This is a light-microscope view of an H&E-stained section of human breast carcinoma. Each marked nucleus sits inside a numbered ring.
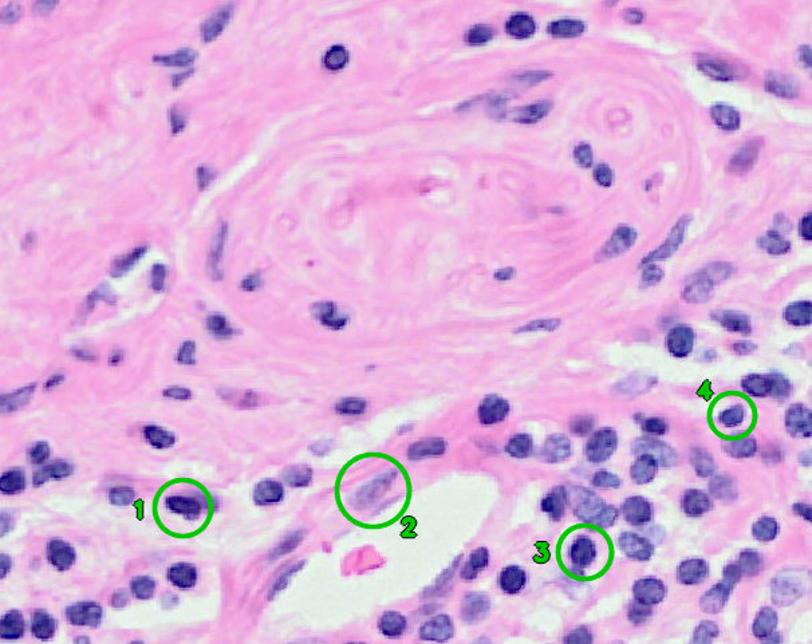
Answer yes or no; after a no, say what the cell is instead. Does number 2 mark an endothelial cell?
Yes.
